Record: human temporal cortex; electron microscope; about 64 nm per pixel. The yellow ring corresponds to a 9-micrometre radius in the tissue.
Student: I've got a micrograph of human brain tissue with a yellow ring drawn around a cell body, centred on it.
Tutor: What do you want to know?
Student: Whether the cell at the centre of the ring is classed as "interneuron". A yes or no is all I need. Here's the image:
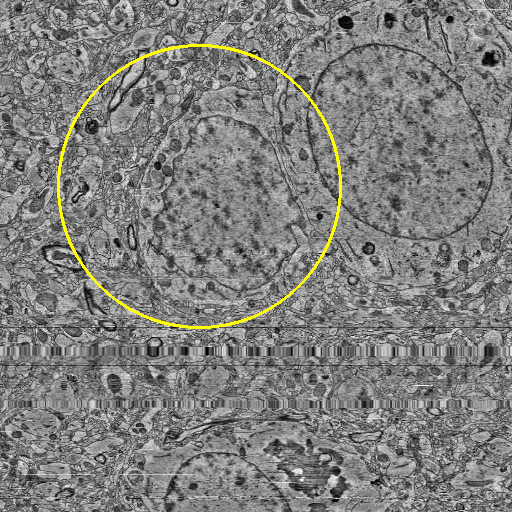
yes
